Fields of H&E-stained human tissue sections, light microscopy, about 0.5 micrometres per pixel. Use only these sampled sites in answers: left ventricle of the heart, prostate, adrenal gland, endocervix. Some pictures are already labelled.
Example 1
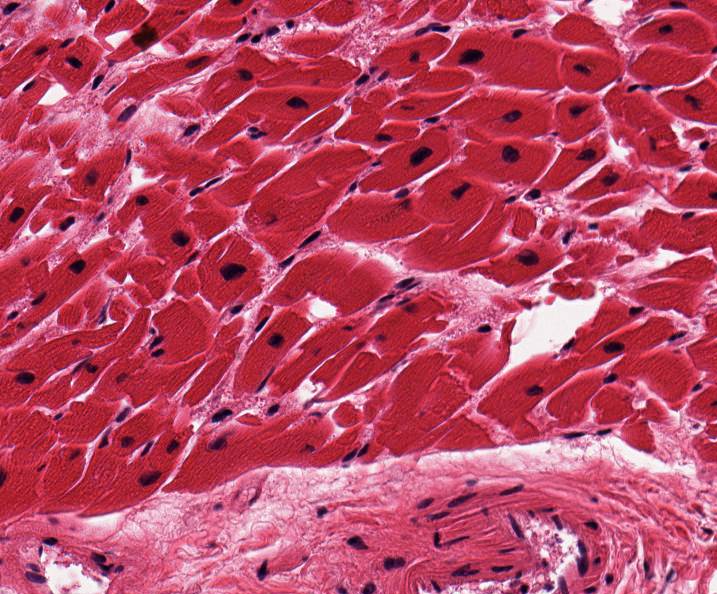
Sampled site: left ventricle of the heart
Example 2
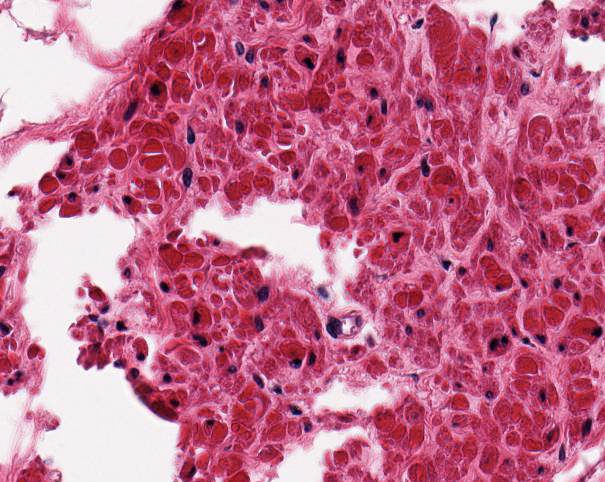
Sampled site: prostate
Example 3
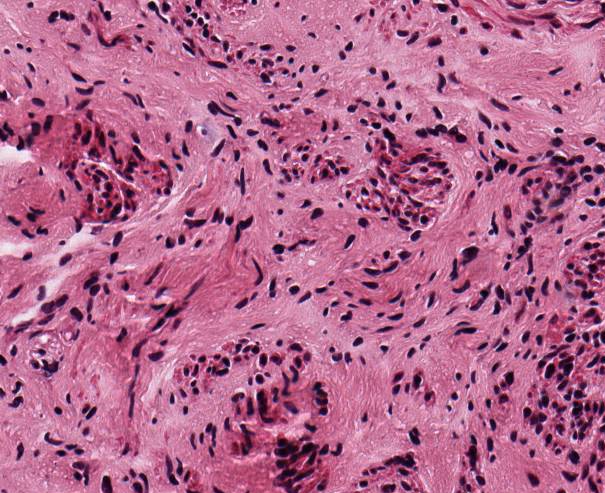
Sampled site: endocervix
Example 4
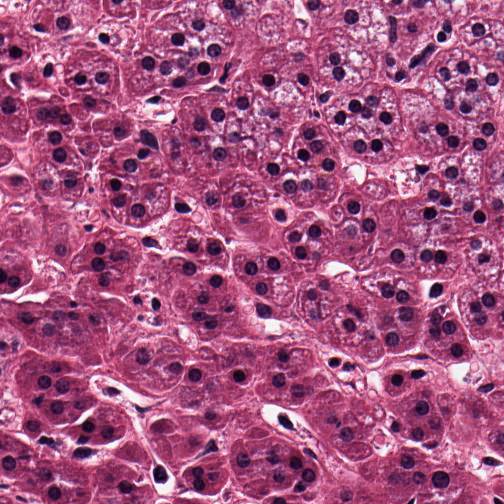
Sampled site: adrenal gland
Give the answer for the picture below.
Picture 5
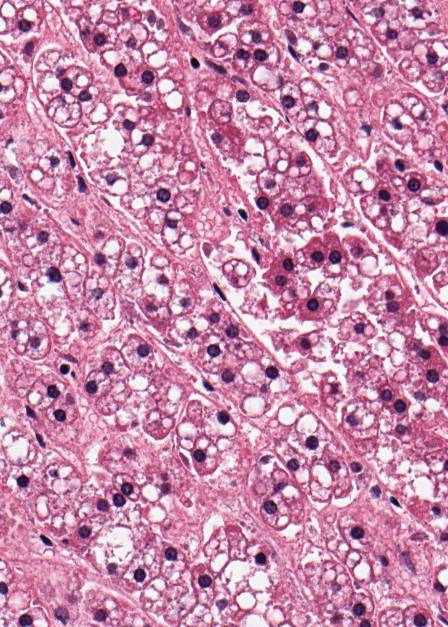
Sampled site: adrenal gland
